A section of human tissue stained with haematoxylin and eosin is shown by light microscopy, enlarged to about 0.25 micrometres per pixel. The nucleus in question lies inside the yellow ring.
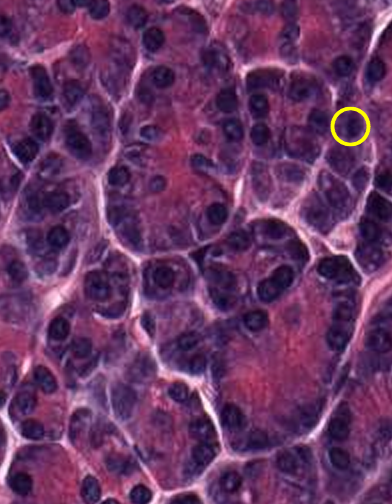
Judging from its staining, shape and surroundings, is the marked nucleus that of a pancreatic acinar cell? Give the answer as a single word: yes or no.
yes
